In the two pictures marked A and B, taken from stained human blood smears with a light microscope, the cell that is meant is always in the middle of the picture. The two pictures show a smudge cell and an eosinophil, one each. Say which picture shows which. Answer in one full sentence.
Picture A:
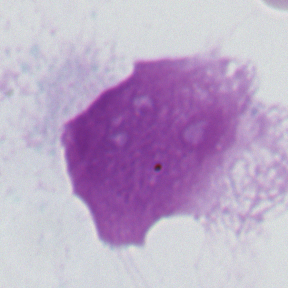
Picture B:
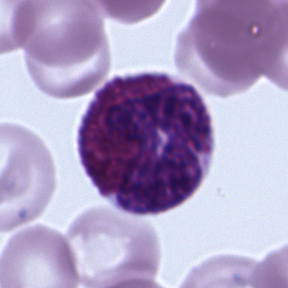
Picture A is of a smudge cell, and picture B is of an eosinophil.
